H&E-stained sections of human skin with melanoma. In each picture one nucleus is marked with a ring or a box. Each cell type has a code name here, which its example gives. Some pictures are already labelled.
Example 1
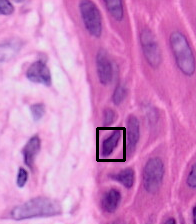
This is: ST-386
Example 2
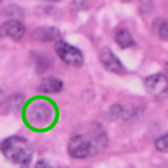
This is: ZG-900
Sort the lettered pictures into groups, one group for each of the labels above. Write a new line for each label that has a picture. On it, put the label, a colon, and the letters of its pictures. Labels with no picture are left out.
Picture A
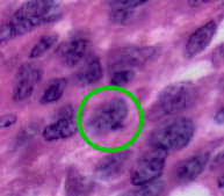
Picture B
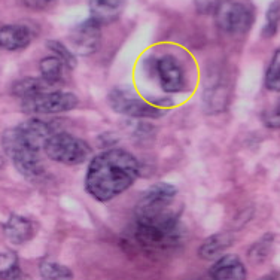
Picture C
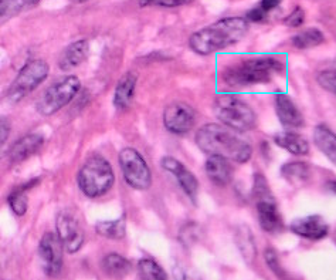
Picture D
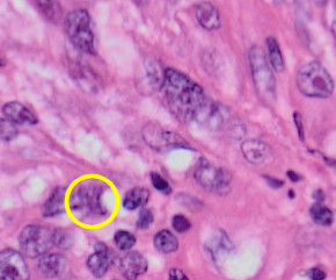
ZG-900: A, B, C, D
